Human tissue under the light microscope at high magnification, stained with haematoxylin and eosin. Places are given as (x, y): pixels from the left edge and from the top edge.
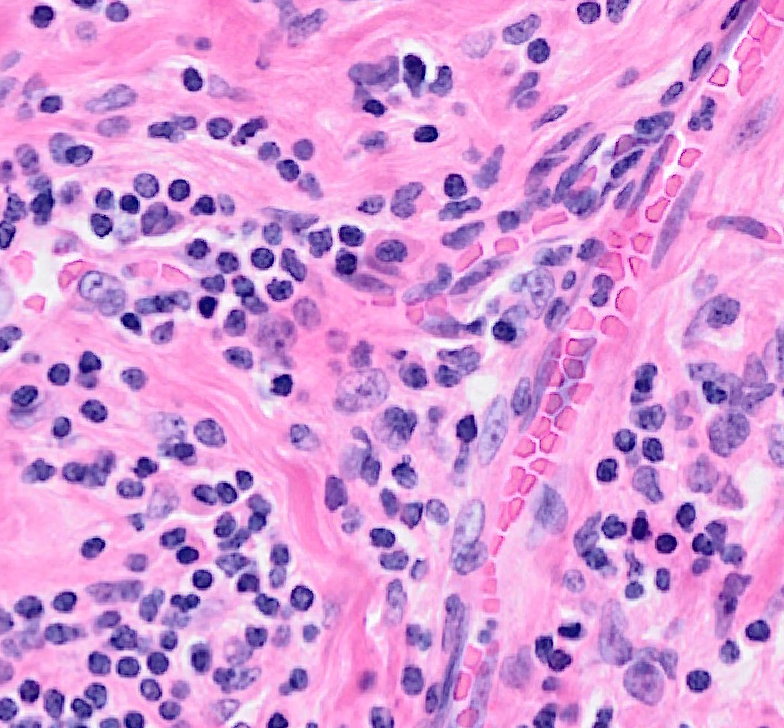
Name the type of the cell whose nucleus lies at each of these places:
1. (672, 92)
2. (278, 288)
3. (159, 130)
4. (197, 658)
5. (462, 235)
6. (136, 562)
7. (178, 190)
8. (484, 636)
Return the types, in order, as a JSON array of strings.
["endothelial cell", "lymphocyte", "lymphocyte", "lymphocyte", "endothelial cell", "lymphocyte", "lymphocyte", "endothelial cell"]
